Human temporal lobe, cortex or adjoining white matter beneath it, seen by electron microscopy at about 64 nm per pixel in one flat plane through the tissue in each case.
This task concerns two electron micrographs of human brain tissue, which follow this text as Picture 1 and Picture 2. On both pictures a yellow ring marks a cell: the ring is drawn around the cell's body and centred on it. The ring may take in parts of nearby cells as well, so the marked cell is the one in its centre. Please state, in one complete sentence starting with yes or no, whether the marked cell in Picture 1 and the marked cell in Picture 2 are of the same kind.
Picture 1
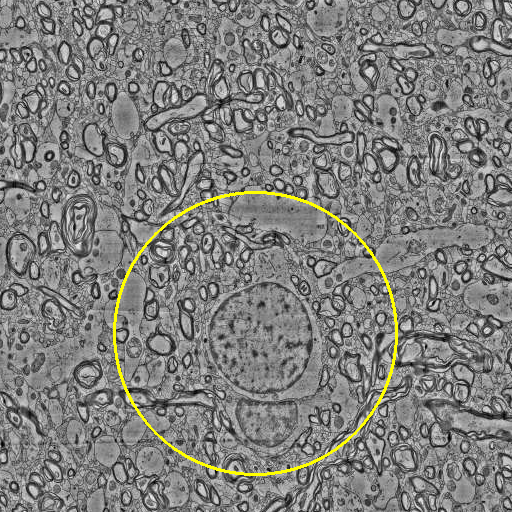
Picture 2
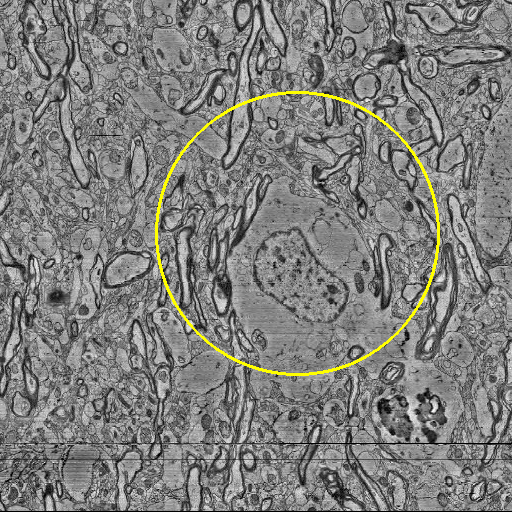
No, the marked cells in the two pictures are of two kinds.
